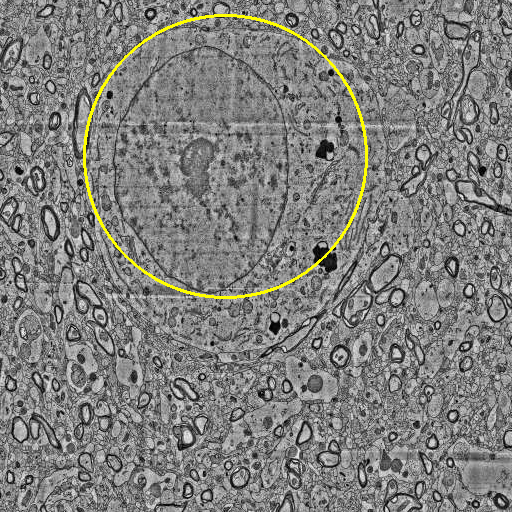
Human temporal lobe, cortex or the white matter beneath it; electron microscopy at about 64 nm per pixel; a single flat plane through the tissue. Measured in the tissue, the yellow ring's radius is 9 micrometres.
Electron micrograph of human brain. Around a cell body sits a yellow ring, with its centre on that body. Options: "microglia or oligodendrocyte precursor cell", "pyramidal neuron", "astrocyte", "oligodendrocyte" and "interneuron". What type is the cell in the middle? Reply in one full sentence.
The cell sitting at the centre of the yellow ring is a pyramidal neuron.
